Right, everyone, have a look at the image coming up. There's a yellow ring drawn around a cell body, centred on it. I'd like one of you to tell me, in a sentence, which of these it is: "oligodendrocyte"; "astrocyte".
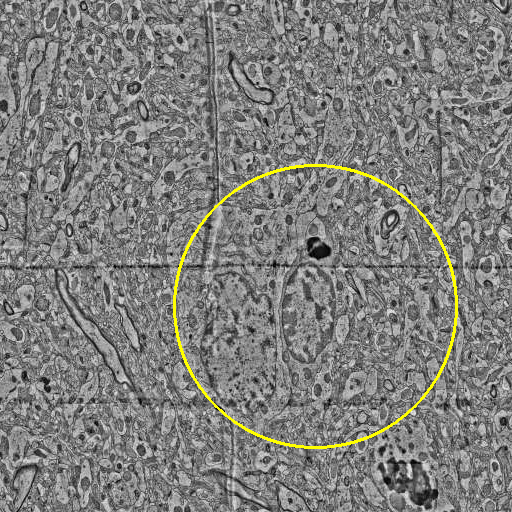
The yellow ring sits on an oligodendrocyte.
